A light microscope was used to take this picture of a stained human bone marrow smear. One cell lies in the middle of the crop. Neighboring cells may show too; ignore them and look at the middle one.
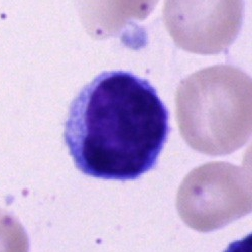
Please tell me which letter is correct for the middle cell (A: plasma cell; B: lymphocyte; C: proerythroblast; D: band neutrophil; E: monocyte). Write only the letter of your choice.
B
